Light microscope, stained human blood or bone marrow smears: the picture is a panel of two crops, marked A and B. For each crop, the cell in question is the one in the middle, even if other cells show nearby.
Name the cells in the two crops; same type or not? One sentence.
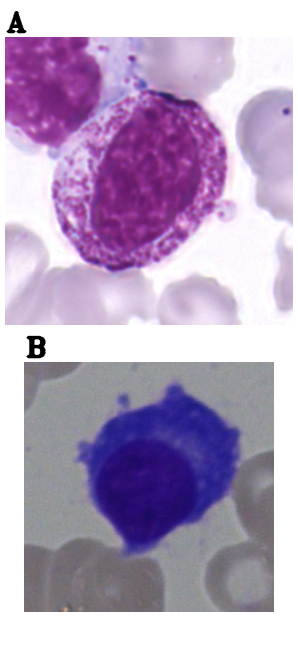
No, the cell at the middle of crop A is a myelocyte, while crop B centres on a plasma cell.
